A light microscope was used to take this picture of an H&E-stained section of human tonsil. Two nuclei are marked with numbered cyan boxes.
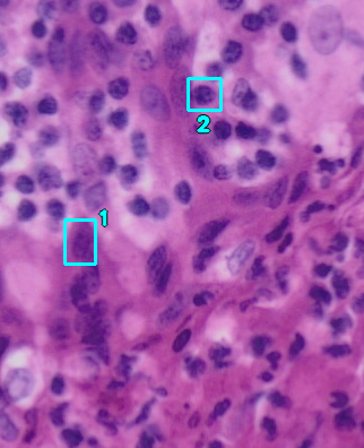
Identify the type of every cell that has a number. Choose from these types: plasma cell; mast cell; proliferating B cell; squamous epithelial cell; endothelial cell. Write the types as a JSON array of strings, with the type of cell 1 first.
["squamous epithelial cell", "plasma cell"]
